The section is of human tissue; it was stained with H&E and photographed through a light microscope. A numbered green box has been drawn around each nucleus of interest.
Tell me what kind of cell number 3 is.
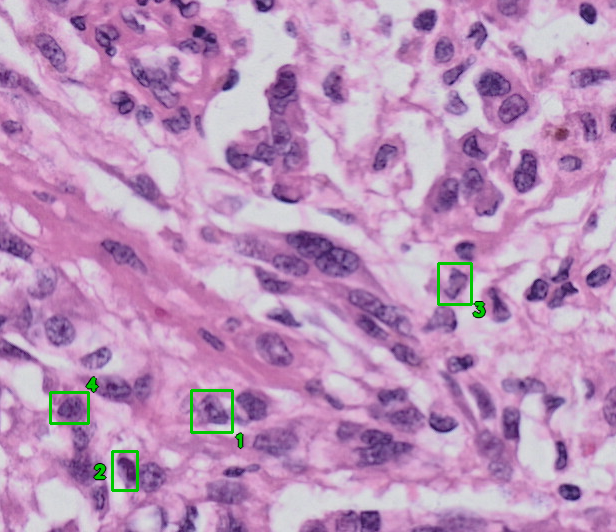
macrophage or monocyte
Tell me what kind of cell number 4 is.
melanoma cell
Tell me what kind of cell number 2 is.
melanoma cell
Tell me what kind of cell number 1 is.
melanoma cell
